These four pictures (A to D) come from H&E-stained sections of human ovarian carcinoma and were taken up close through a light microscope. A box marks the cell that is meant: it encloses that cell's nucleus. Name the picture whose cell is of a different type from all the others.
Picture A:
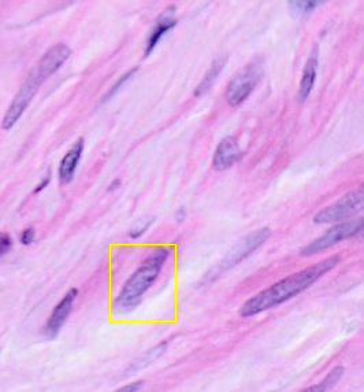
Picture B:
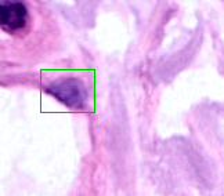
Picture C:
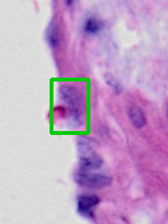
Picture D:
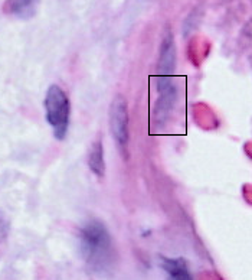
A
